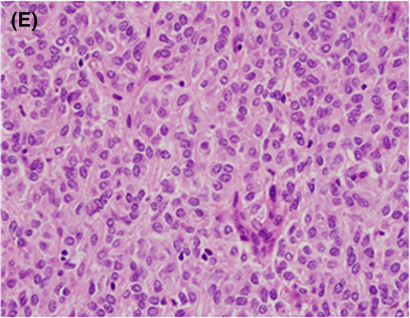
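The field is a solid sheet of atypical round tumor cells with pink, eosinophilic cytoplasm. The cells lie closely packed with indistinct borders and no clear glandular or layered arrangement. A small cluster of darker purple nuclei sits near the lower middle of the field.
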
